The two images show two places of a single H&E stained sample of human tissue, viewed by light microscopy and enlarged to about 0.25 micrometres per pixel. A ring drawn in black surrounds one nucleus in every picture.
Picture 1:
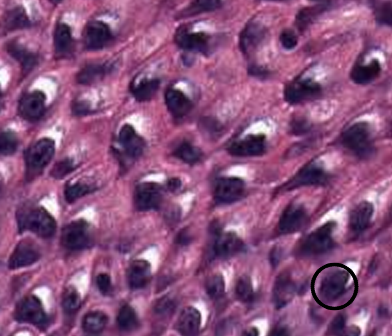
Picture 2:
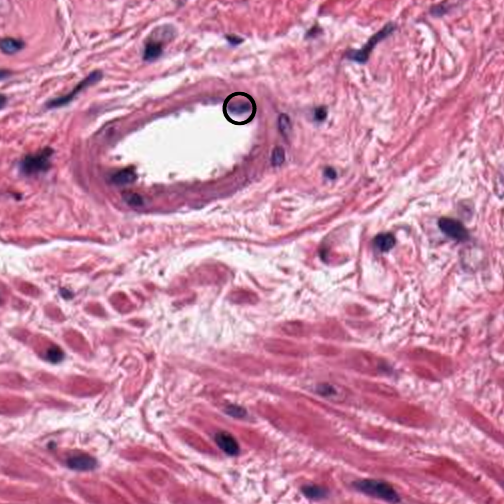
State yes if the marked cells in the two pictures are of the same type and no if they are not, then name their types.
No, the first is a squamous epithelial cell and the second an endothelial cell.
